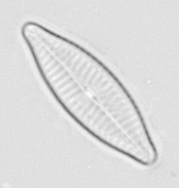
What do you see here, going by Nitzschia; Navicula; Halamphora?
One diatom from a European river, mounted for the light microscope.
I see Navicula.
